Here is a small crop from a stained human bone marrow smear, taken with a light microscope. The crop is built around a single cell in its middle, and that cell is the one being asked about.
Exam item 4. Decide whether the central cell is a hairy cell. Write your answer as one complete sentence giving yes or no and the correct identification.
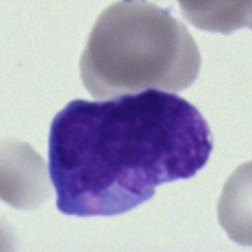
No, the centrally located cell is a blast rather than a hairy cell.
